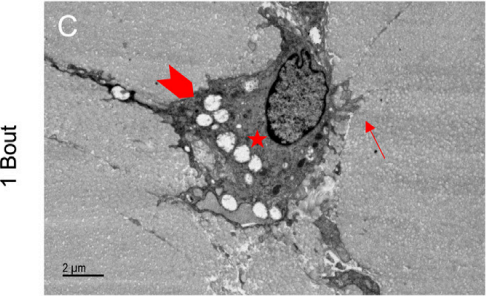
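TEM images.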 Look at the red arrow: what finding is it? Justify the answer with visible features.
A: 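The cell edge near the arrow bears many small irregular projections. The cell body is broad and rounded rather than thin. That points to this answer: protrusions in the boundaries.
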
